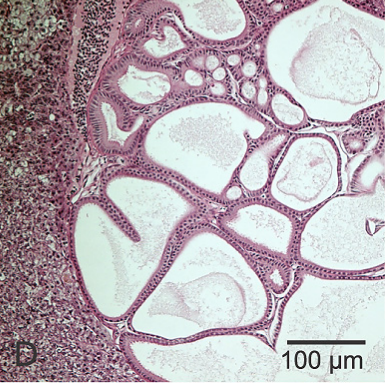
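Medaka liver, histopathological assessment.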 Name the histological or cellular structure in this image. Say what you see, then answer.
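Large round to polygonal spaces containing pale pink material. The spaces are much larger than the surrounding cells. The answer: large cystic spaces.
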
